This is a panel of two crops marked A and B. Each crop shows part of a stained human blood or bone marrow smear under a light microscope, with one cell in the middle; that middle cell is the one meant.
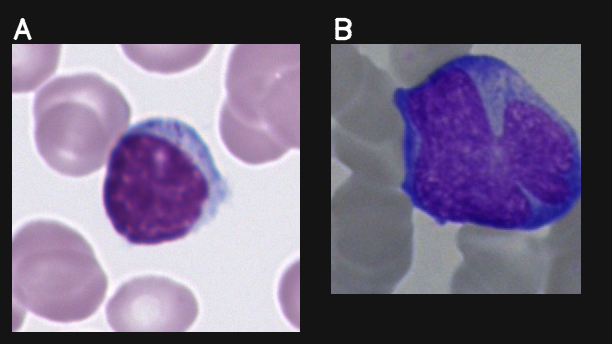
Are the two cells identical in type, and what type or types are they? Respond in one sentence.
No, on this set crop A shows a lymphocyte and crop B shows a blast.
